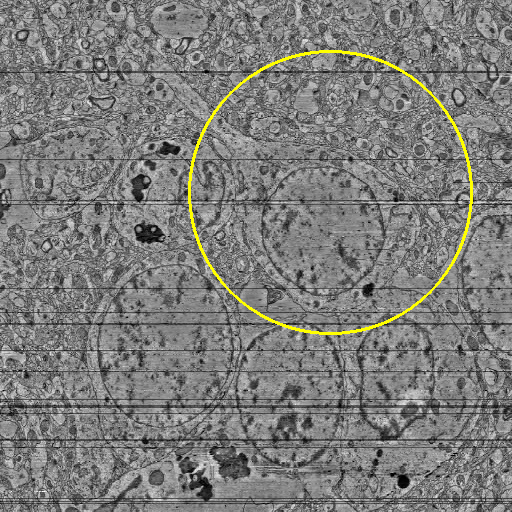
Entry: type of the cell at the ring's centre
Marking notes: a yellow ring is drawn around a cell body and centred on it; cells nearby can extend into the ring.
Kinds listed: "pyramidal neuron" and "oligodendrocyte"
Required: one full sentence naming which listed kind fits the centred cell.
My entry names a pyramidal neuron as the cell whose body the yellow ring centres on.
